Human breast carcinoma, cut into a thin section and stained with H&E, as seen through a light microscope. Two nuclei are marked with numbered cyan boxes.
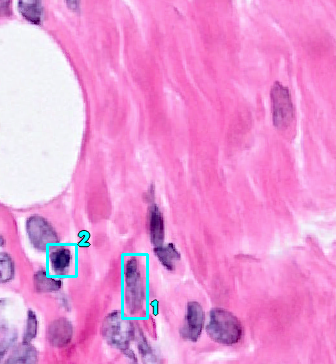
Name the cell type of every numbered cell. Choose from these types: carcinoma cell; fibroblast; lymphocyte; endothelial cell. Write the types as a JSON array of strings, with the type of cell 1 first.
["endothelial cell", "lymphocyte"]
